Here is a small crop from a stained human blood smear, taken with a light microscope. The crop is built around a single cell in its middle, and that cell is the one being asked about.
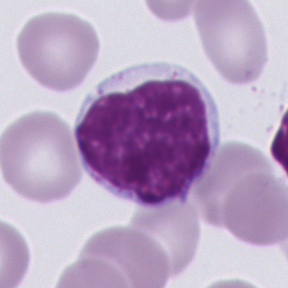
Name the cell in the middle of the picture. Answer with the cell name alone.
large granular lymphocyte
